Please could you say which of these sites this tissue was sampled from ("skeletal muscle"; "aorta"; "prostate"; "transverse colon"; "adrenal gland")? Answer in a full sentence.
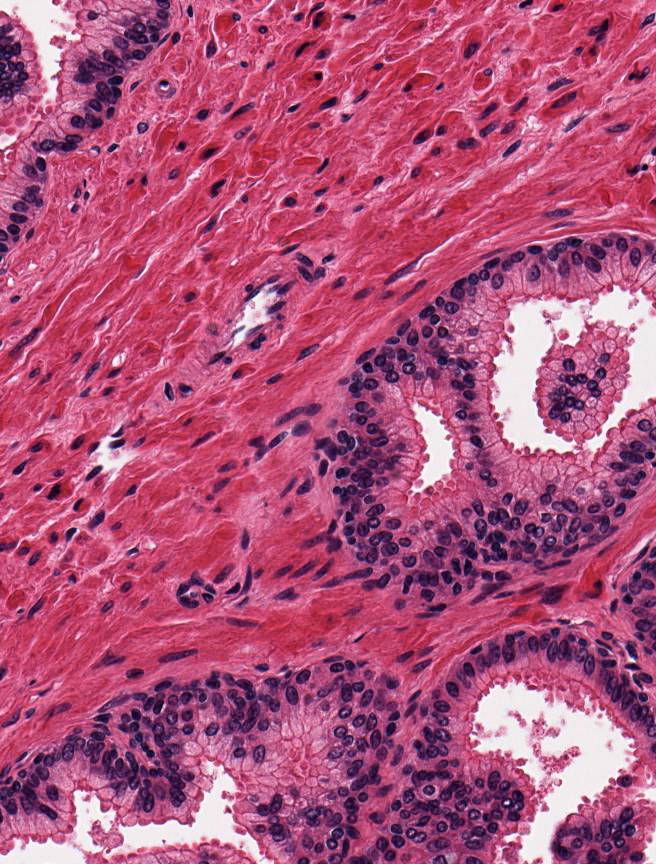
The site this tissue was sampled from is the prostate.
